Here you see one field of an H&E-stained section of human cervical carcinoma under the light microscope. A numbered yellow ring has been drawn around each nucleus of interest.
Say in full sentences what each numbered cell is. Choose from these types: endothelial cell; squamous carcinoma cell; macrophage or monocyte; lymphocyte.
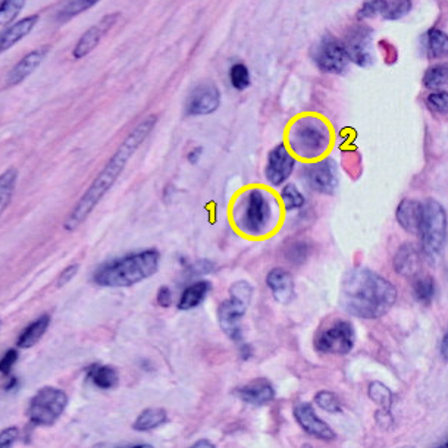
Cell 1 is a lymphocyte and cell 2 is an endothelial cell.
